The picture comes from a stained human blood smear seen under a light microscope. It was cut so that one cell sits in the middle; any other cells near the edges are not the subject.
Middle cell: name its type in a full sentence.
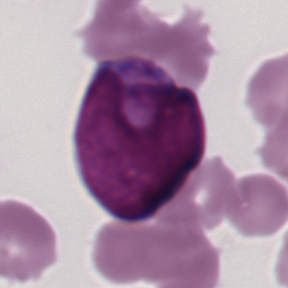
At the crop's centre, the cell is a myeloblast.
